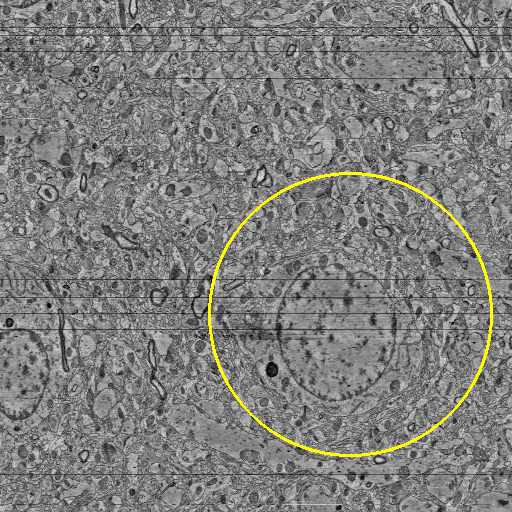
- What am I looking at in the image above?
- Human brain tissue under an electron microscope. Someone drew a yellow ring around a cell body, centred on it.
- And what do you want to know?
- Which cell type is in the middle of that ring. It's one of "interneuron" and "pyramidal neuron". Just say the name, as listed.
pyramidal neuron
